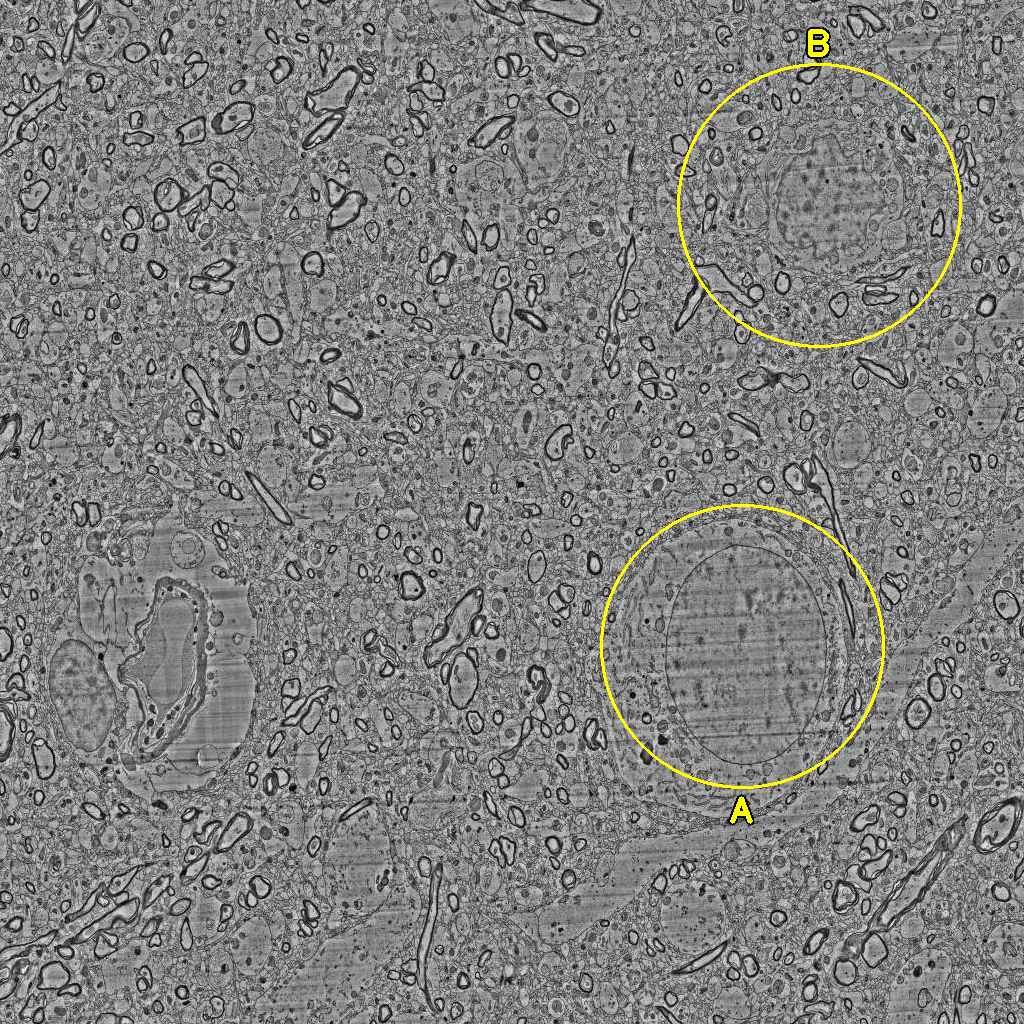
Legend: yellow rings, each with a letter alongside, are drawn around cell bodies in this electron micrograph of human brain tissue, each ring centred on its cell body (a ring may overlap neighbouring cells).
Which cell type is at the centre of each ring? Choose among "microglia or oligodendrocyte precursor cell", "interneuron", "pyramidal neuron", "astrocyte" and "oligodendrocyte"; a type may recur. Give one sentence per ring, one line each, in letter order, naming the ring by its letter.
Ring A has a pyramidal neuron at its centre.
Ring B has an interneuron at its centre.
